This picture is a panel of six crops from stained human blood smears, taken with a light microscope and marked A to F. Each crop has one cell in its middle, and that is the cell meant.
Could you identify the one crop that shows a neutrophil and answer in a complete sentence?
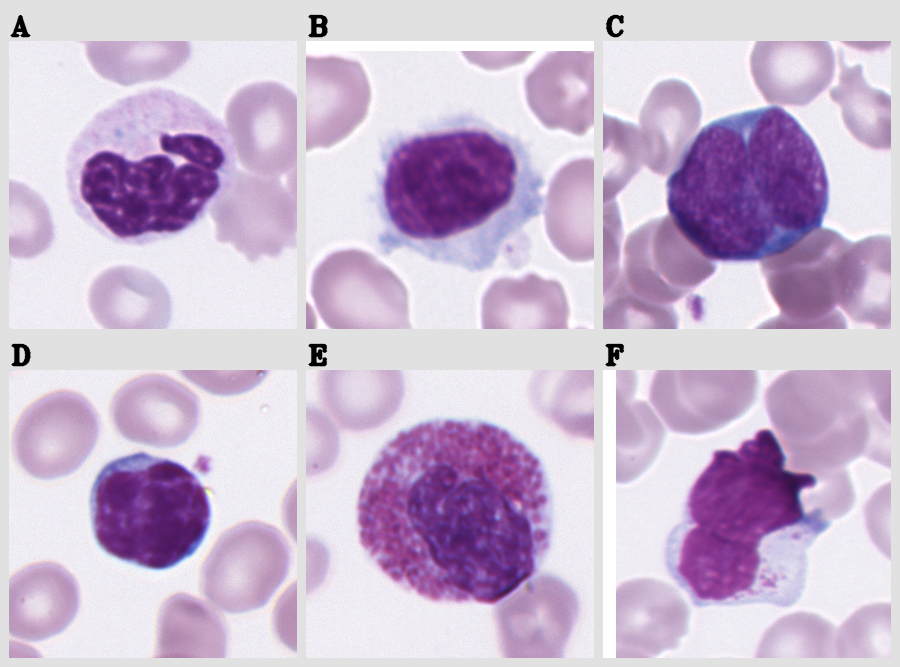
The crop in which a neutrophil is shown is crop A.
